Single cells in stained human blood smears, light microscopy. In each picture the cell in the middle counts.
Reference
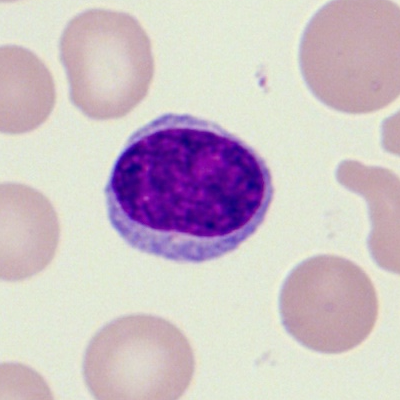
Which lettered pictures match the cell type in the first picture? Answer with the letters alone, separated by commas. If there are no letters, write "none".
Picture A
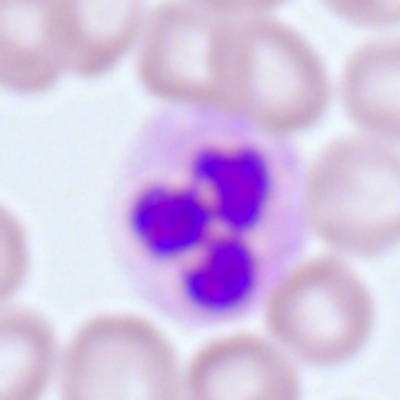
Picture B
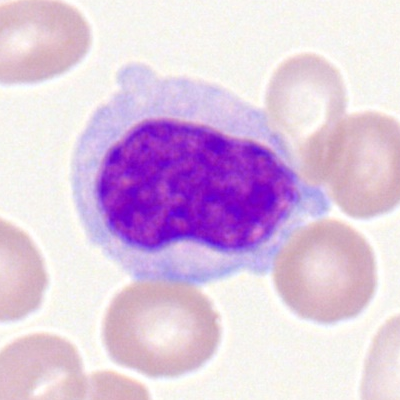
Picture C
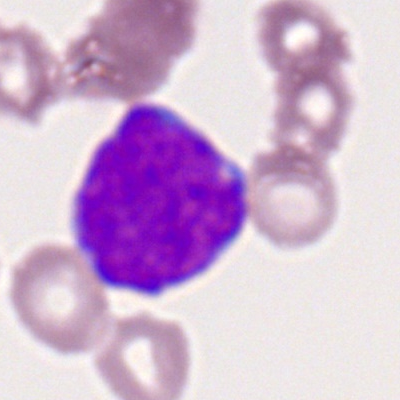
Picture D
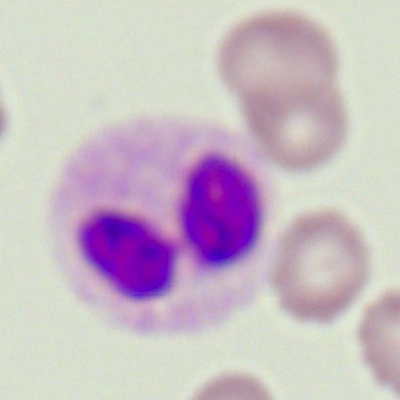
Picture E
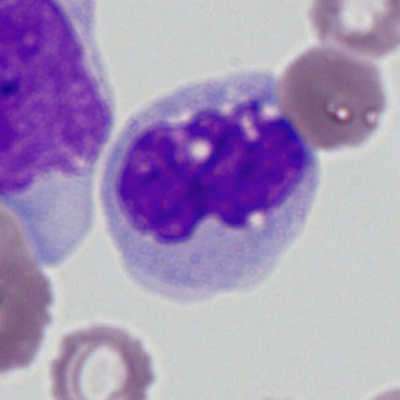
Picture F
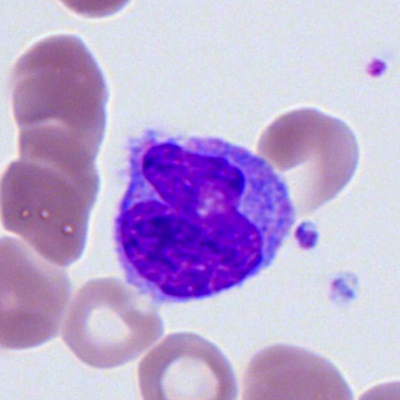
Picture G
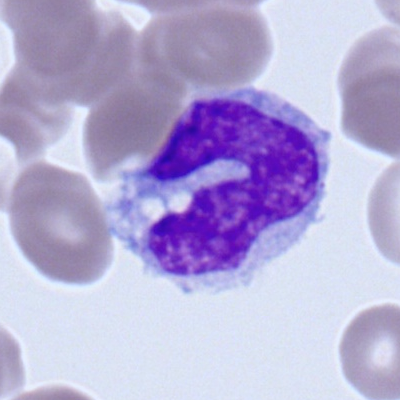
none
